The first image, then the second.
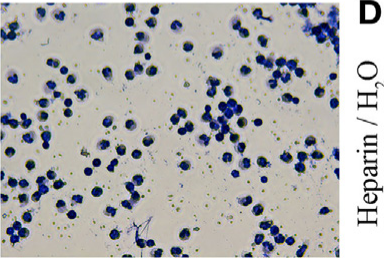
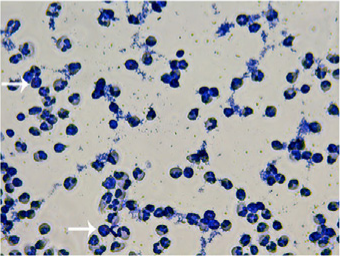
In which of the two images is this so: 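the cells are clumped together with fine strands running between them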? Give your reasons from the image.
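Second image: cells gathered into chains and clusters linked by many fine blue strands.
The second image.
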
